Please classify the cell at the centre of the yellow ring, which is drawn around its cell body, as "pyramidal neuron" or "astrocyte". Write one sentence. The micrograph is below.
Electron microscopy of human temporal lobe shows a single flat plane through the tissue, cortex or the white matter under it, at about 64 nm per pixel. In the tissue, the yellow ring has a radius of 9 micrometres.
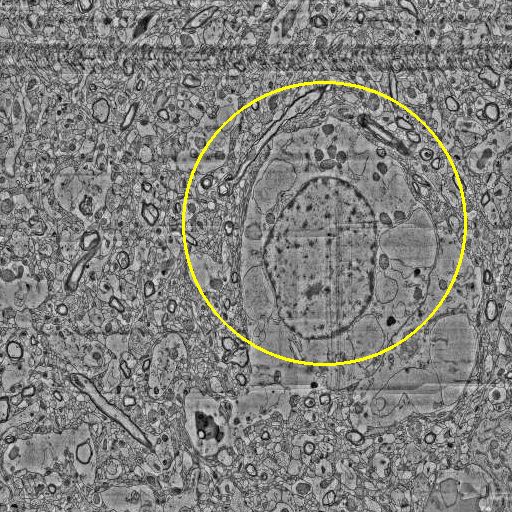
The cell at the ring's centre is classified as an astrocyte.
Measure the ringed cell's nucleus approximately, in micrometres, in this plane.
In this plane, the nucleus is roughly 10 by 7 micrometres.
